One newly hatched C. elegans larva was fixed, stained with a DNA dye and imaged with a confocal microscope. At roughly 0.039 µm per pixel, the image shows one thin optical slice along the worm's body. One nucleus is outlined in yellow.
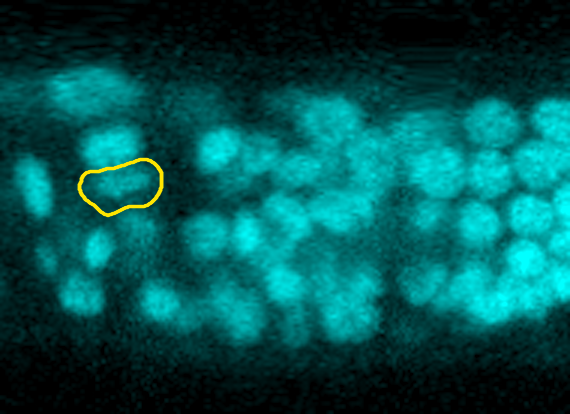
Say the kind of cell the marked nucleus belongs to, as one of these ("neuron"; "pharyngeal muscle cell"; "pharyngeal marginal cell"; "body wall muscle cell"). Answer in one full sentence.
The nucleus comes from a pharyngeal marginal cell.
